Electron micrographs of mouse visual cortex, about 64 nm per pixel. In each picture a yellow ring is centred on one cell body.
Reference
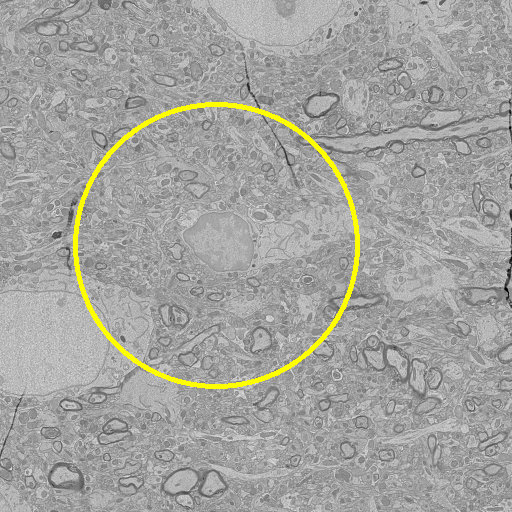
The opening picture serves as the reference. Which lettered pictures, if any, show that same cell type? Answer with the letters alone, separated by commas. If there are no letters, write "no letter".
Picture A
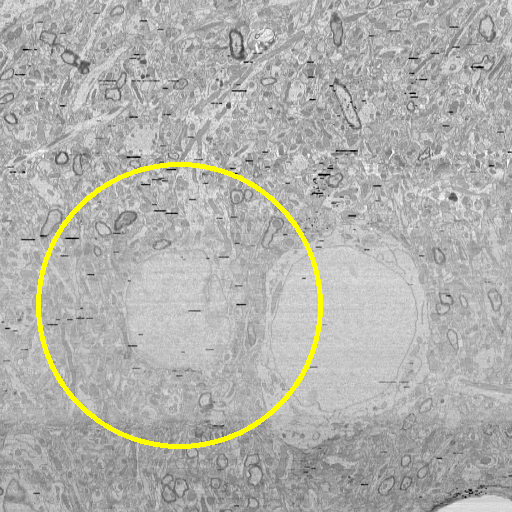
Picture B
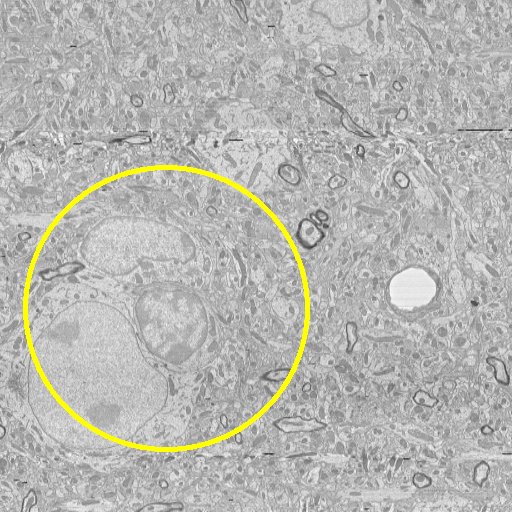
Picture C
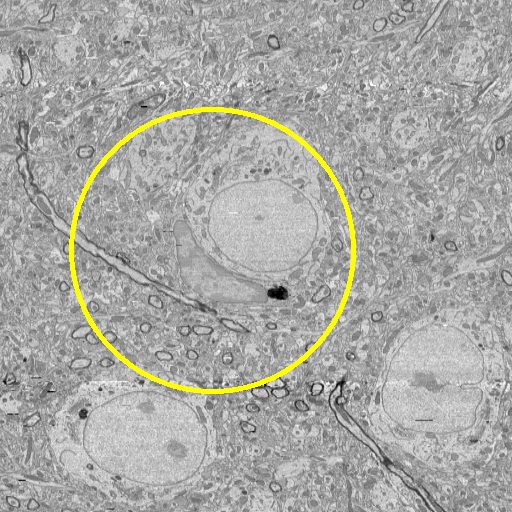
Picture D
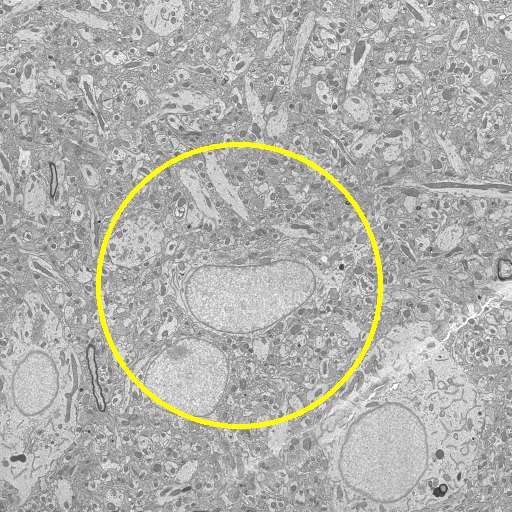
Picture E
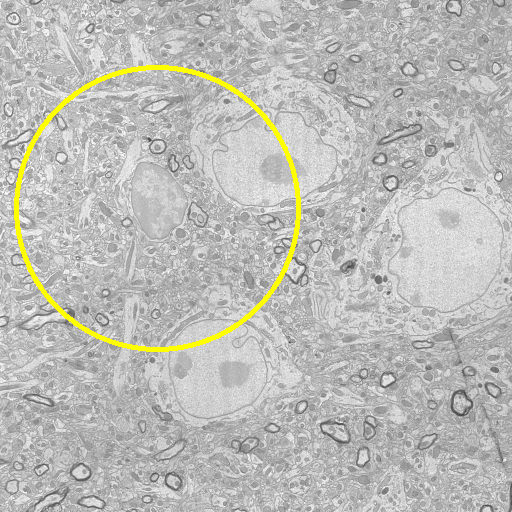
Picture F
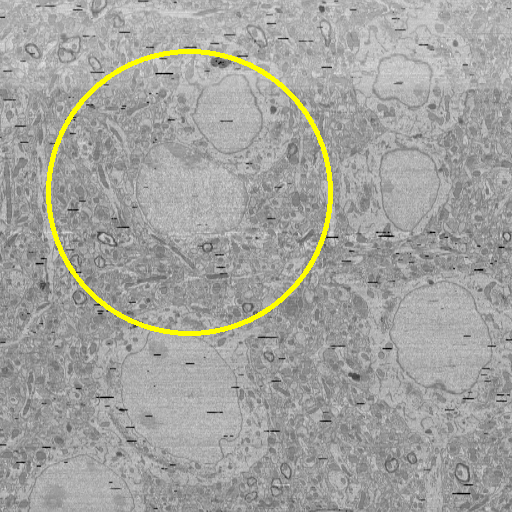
C, E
